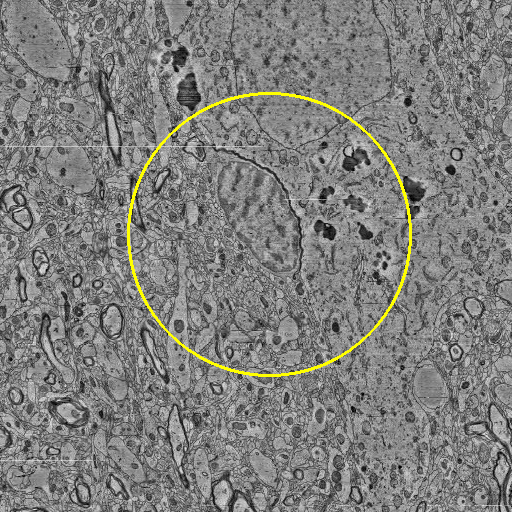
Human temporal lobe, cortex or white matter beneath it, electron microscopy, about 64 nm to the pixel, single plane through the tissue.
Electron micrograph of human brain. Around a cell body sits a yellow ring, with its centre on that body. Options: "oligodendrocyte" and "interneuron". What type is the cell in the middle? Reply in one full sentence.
The cell sitting at the centre of the yellow ring is an oligodendrocyte.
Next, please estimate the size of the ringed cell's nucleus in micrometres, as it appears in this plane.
Approximately 8 by 4 micrometers, which makes the nucleus clearly longer than it is wide in this plane.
